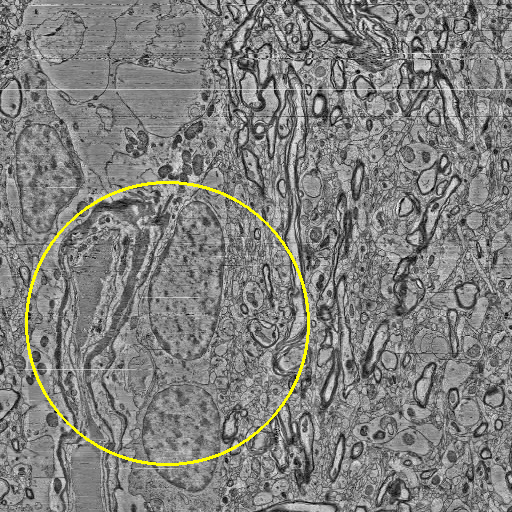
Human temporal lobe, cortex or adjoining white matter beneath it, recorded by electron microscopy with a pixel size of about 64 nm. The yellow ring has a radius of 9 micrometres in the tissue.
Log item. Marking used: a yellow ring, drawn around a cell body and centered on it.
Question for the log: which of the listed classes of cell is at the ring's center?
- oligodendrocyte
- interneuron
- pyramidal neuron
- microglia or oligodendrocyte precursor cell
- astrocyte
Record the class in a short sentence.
At the center of the ring lies a microglial cell or oligodendrocyte precursor cell.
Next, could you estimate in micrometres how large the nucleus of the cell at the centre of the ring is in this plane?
The nucleus is about 9 micrometres in length and 5 in width, clearly longer than it is wide in this plane.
